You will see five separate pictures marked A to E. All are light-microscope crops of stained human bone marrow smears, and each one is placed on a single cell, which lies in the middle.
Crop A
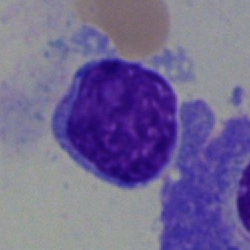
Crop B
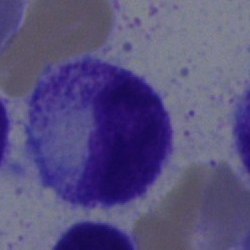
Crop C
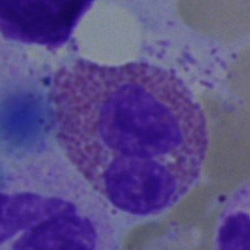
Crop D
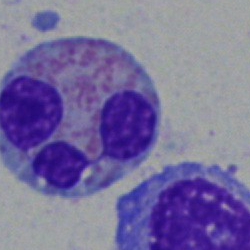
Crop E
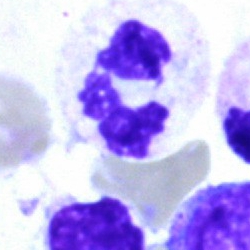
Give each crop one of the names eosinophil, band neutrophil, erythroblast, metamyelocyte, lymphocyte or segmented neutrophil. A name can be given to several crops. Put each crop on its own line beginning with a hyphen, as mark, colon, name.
- A: lymphocyte
- B: metamyelocyte
- C: eosinophil
- D: eosinophil
- E: segmented neutrophil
